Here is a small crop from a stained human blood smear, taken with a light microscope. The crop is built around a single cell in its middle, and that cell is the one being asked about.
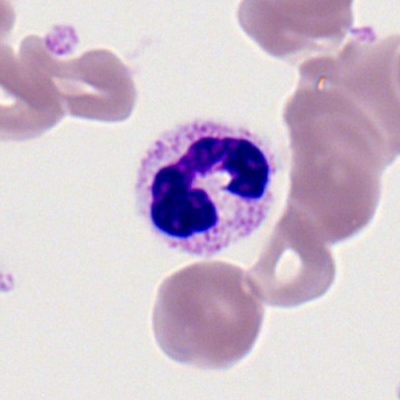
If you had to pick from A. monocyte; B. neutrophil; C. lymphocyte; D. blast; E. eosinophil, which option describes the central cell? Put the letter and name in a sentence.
Option B is the correct option, with the middle cell being a neutrophil.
